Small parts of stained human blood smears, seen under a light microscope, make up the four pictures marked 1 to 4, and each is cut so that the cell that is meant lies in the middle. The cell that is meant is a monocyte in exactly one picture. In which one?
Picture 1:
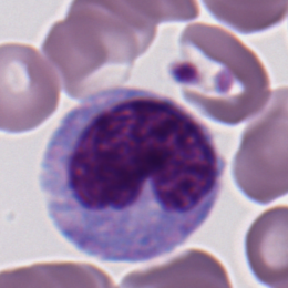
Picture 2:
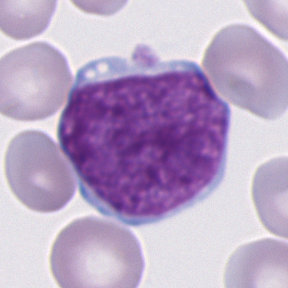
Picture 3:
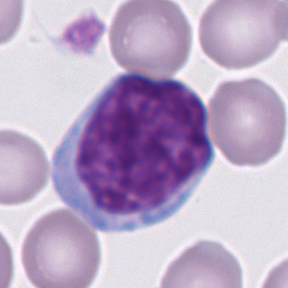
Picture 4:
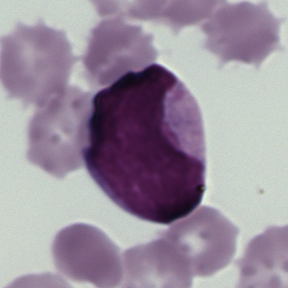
1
